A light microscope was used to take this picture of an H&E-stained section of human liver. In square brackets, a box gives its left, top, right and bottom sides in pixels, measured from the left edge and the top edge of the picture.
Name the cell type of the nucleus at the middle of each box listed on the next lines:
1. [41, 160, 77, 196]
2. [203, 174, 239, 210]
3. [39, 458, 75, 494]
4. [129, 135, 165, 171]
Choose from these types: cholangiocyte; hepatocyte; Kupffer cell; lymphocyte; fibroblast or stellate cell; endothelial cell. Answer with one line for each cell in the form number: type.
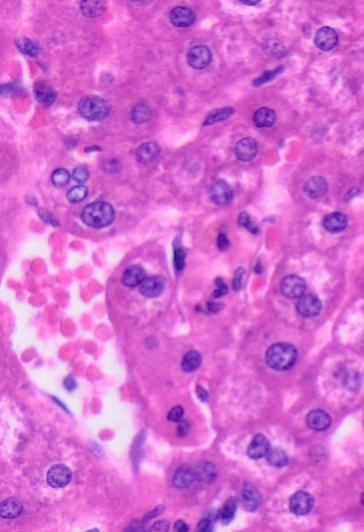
1: cholangiocyte
2: hepatocyte
3: hepatocyte
4: hepatocyte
